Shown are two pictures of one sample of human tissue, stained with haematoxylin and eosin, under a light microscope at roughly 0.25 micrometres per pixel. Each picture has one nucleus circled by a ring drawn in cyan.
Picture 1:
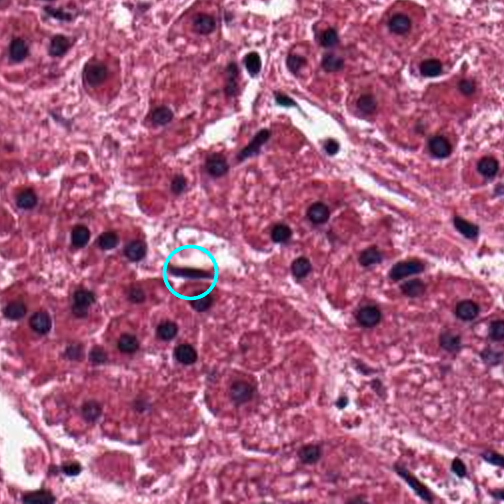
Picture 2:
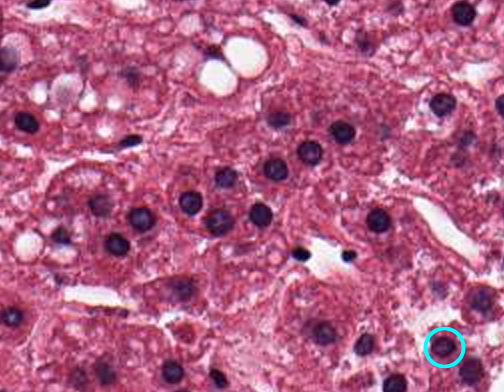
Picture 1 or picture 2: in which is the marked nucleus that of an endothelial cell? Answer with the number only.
1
